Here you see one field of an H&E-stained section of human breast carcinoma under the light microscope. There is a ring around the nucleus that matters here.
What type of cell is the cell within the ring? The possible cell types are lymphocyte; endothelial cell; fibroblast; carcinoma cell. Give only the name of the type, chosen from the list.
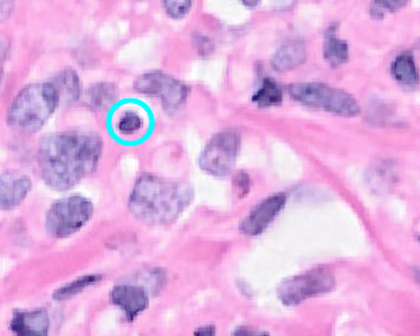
lymphocyte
